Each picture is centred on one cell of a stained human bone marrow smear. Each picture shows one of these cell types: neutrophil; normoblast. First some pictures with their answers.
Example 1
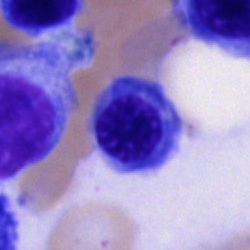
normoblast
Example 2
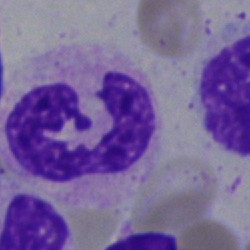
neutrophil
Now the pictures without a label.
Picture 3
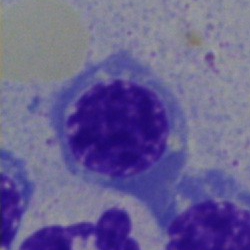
normoblast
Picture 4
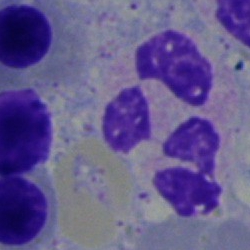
neutrophil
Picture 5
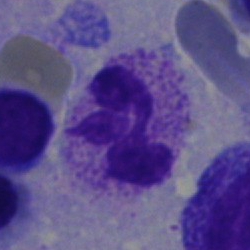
neutrophil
